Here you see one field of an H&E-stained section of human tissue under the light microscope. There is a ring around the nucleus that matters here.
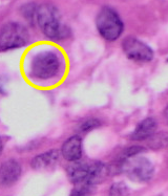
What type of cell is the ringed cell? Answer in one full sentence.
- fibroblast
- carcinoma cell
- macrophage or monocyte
The expected answer is simply that the ringed cell is a carcinoma cell.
